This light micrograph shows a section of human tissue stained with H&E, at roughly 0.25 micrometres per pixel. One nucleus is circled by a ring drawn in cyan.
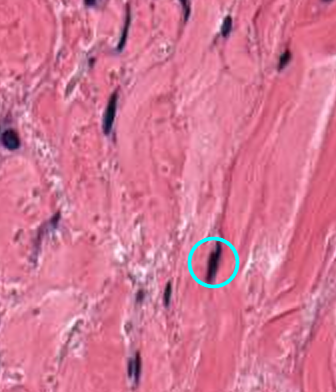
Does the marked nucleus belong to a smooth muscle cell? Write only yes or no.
no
